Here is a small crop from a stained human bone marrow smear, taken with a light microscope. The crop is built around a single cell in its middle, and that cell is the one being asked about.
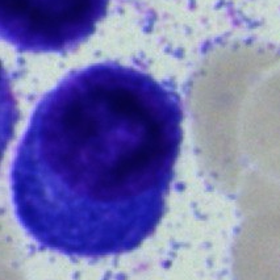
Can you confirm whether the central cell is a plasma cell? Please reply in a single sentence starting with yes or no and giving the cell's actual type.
Yes, the cell shown centrally is a plasma cell.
